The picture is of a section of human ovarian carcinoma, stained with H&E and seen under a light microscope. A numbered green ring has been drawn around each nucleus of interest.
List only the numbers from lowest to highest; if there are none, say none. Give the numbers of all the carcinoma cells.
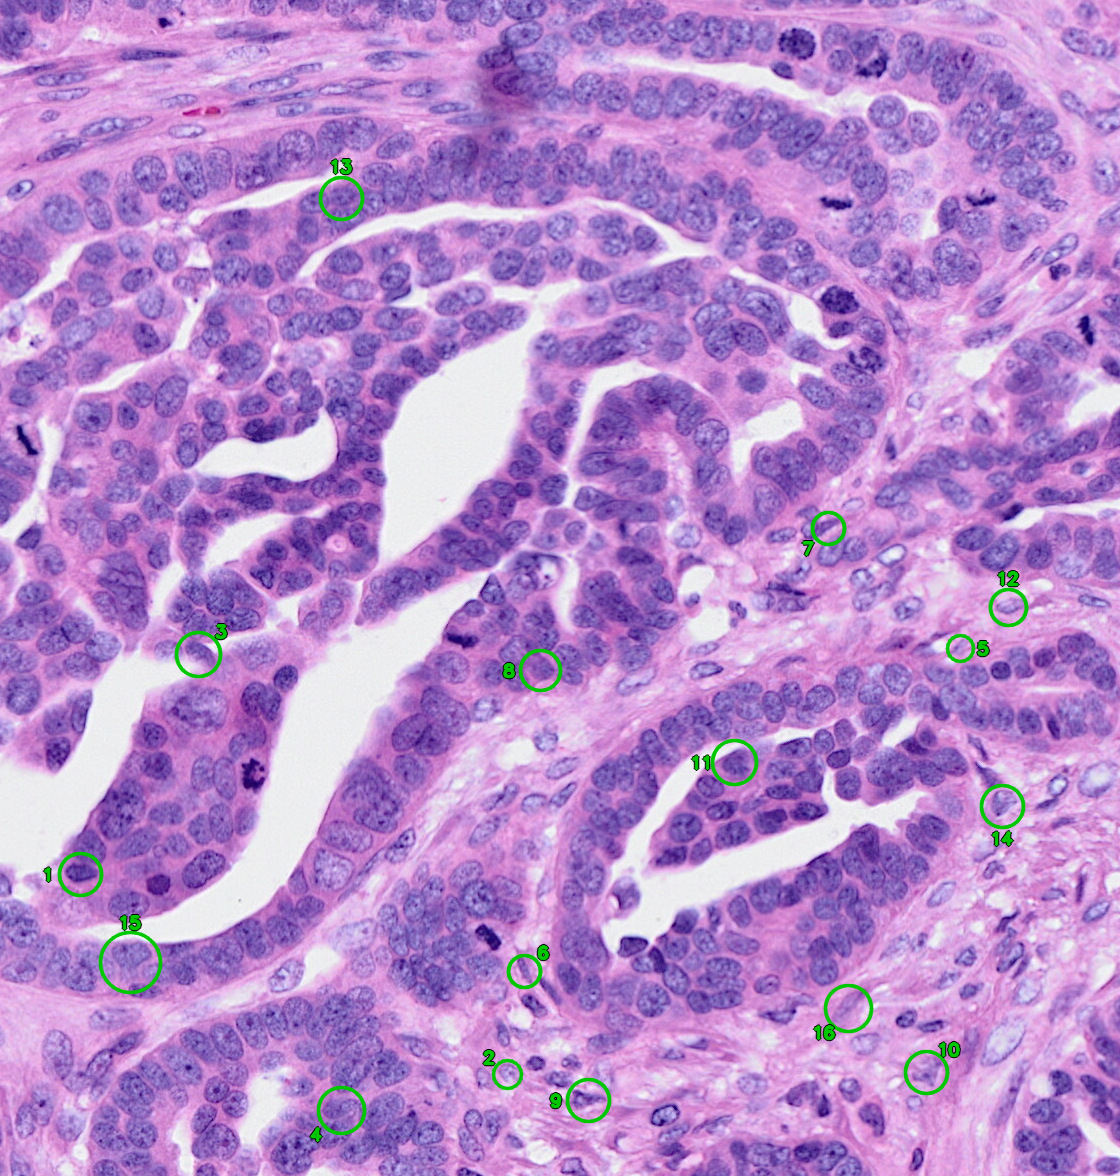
1, 3, 4, 8, 11, 13, 15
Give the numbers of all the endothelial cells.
none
